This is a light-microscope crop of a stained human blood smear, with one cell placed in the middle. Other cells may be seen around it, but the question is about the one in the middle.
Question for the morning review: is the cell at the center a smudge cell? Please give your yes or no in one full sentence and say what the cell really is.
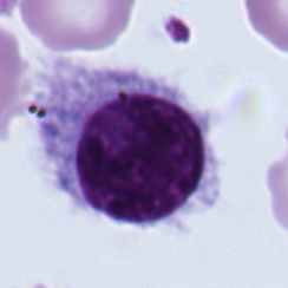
No, in the middle of the crop there is a hairy cell rather than a smudge cell.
